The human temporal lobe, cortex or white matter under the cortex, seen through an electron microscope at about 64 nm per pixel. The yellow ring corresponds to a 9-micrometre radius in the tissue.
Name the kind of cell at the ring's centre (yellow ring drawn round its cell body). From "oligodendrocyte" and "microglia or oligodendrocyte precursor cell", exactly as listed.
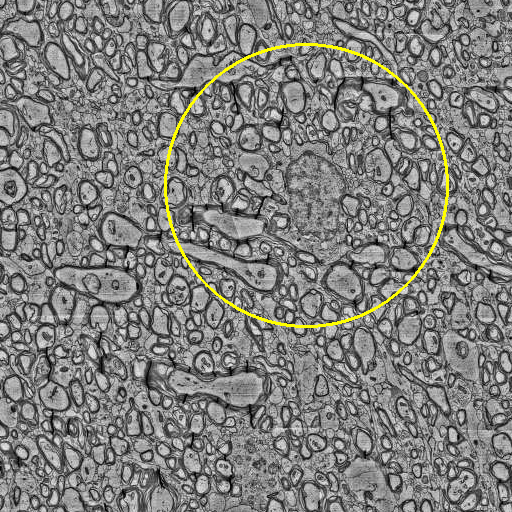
oligodendrocyte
